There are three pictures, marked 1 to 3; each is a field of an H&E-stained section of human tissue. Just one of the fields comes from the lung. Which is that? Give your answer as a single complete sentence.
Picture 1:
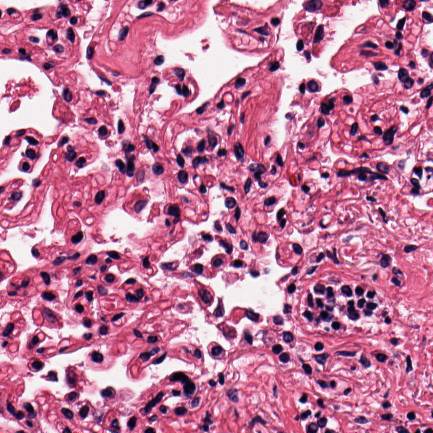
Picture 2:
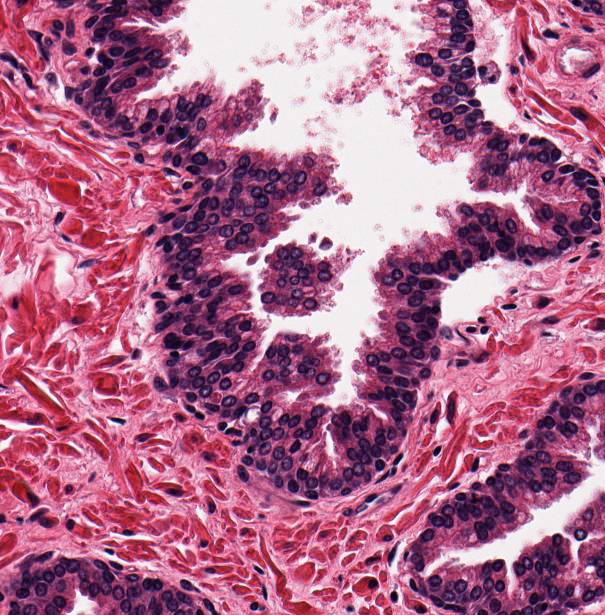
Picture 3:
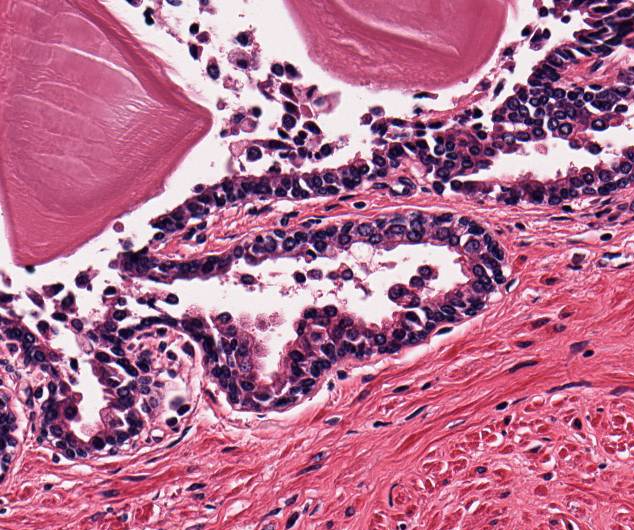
It is picture 1 that comes from the lung.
